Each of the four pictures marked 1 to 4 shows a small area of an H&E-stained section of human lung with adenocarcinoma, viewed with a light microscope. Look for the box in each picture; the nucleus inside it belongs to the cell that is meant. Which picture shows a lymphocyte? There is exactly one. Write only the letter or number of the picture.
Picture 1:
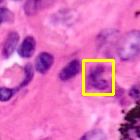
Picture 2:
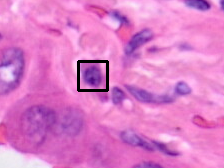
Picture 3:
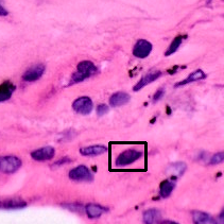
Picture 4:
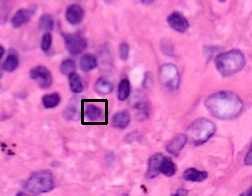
4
